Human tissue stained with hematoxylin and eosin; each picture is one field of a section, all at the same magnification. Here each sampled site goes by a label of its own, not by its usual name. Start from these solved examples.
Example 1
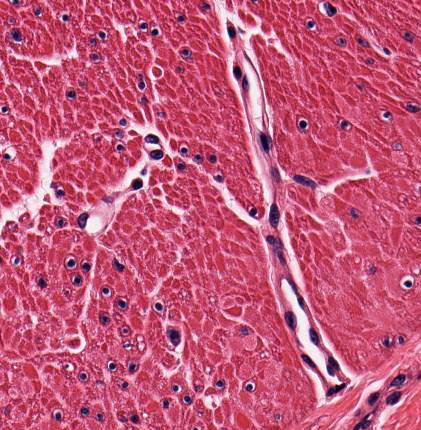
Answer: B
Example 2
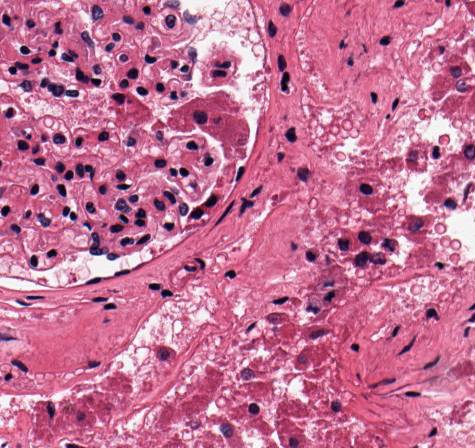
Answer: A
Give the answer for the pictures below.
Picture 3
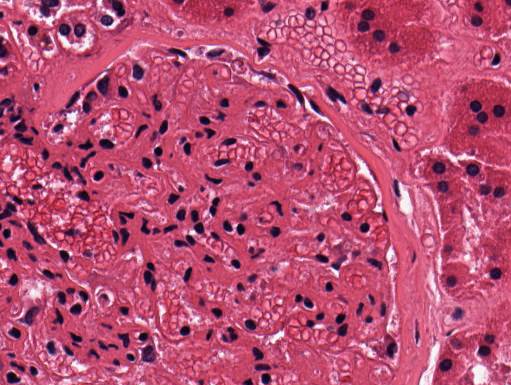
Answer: A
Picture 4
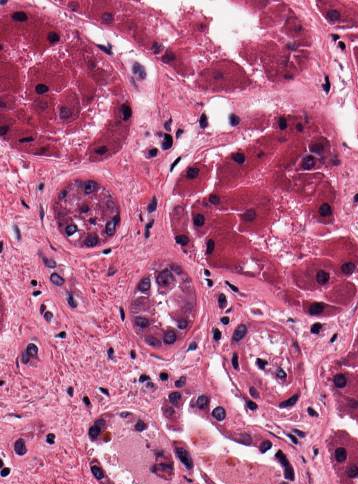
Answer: A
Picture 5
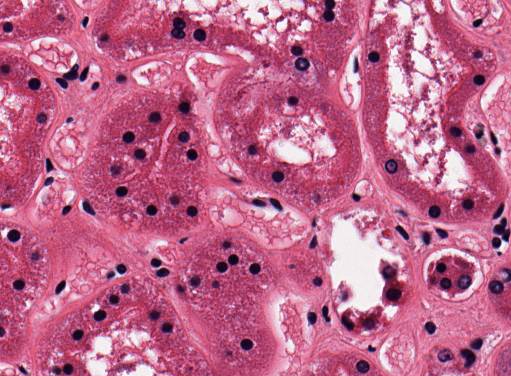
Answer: A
